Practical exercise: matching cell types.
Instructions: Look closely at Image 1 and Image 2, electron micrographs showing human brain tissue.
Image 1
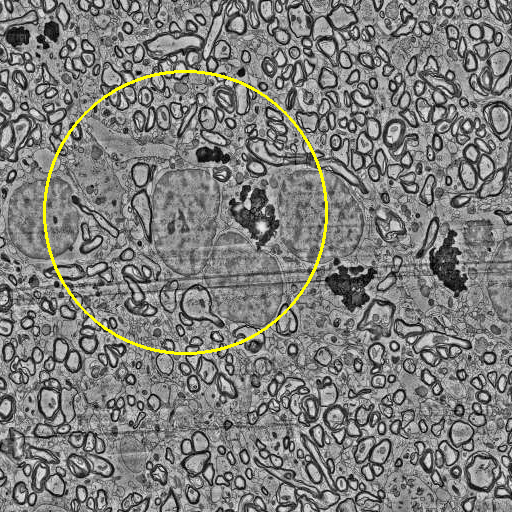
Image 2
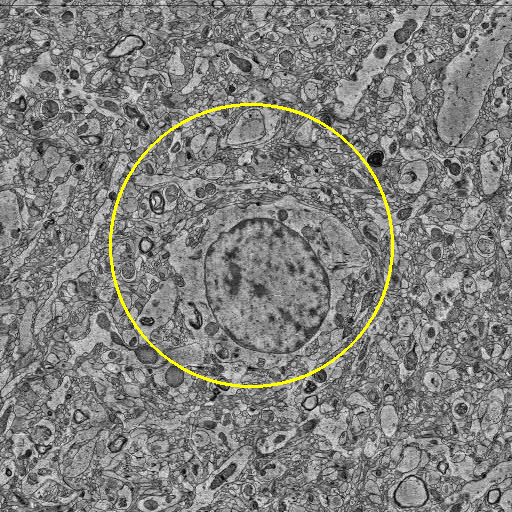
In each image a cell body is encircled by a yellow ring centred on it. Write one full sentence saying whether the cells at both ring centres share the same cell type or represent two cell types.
Across Image 1 and Image 2, the cells at the ring centres represent two cell types.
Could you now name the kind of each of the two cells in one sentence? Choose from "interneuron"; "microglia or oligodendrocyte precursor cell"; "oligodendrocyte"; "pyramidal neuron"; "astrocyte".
The first ring encloses an oligodendrocyte; the second ring encloses an astrocyte.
